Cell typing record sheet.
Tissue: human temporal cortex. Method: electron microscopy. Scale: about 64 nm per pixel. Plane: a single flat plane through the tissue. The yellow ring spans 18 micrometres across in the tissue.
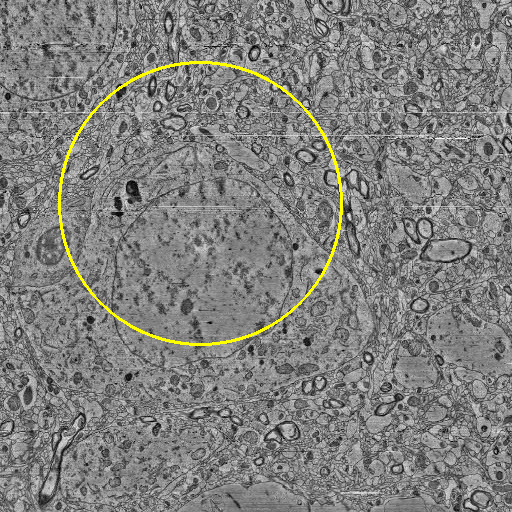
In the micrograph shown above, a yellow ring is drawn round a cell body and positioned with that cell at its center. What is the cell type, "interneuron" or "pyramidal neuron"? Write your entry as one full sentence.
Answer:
The cell body at the center of the ring belongs to a pyramidal neuron.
